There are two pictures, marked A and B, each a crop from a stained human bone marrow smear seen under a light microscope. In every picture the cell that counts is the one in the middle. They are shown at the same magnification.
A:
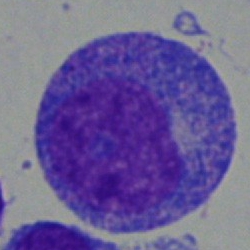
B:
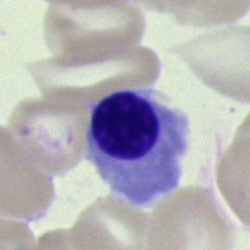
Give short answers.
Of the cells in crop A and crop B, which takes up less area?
B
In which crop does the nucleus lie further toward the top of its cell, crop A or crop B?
B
